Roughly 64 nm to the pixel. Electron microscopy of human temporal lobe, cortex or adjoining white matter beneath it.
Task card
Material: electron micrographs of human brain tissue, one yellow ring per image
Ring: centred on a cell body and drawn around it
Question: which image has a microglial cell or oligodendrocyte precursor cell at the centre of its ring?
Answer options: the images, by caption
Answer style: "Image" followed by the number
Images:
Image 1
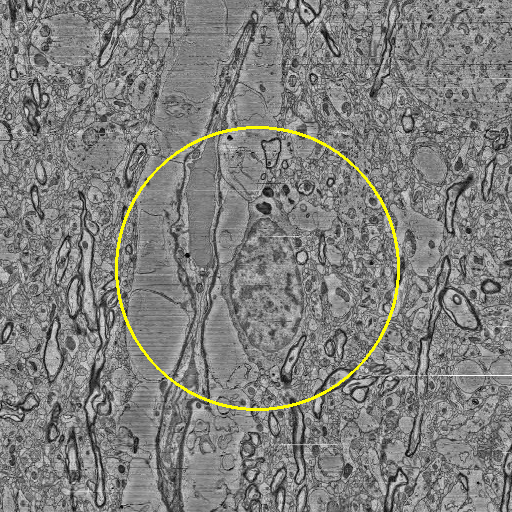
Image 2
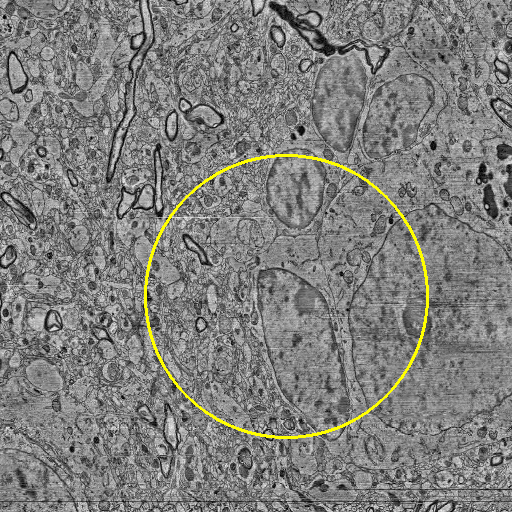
Image 2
